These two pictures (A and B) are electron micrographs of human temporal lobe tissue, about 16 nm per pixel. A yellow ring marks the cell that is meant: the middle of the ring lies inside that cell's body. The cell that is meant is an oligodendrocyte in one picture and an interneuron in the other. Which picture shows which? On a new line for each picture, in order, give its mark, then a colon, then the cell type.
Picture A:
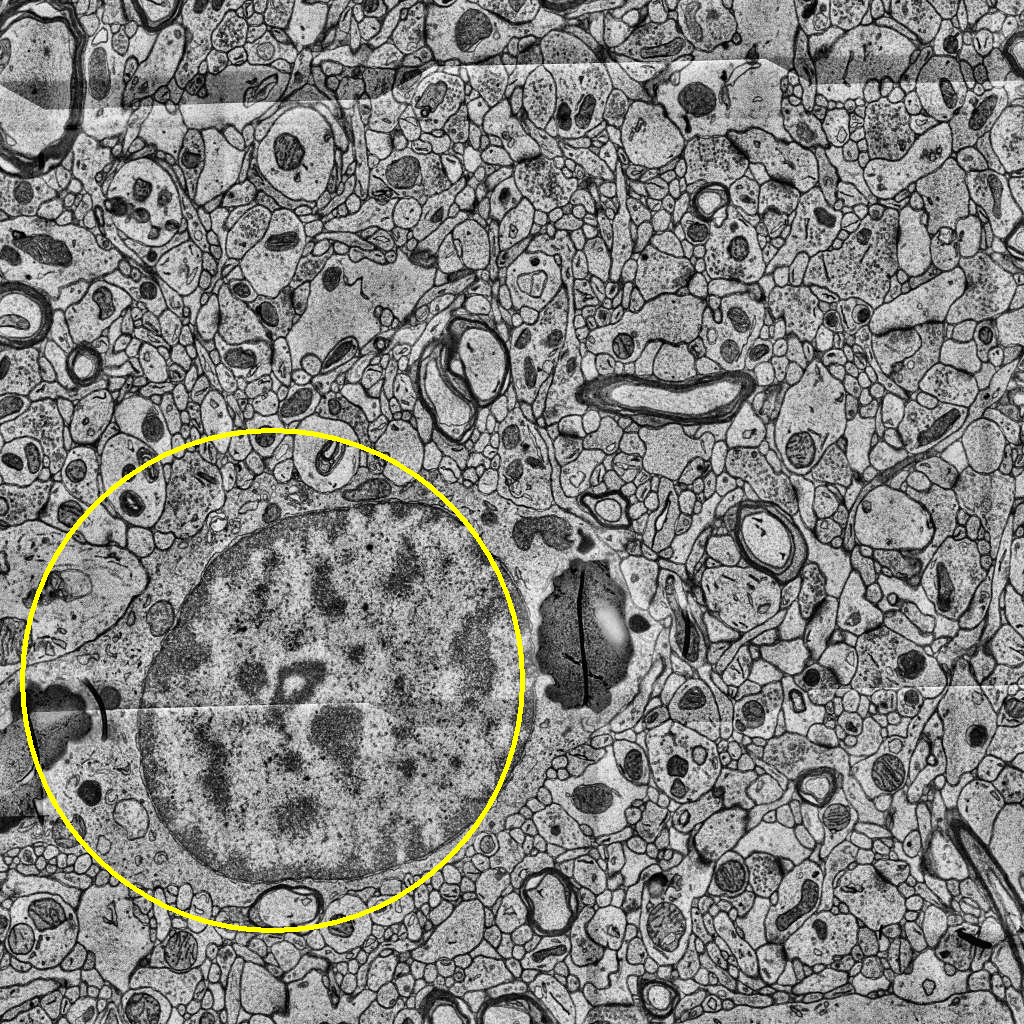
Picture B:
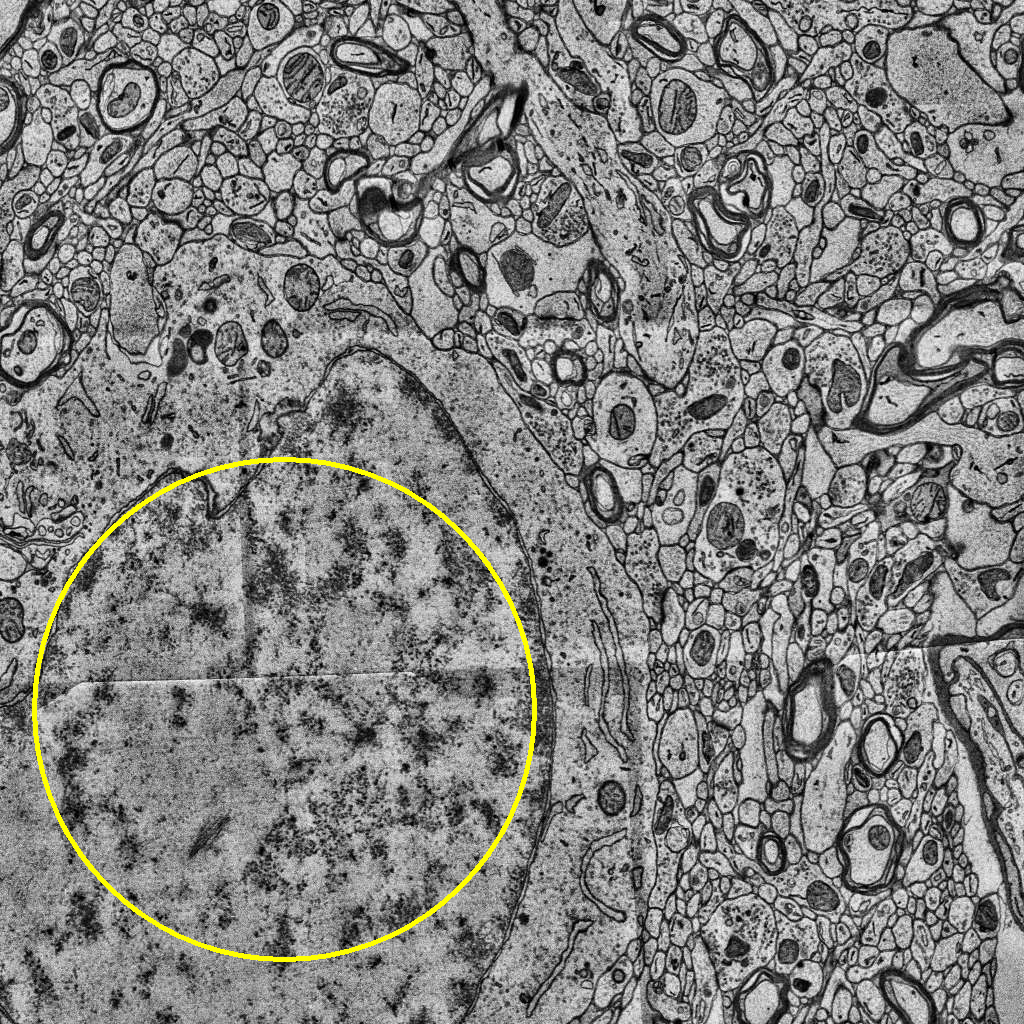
A: oligodendrocyte
B: interneuron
